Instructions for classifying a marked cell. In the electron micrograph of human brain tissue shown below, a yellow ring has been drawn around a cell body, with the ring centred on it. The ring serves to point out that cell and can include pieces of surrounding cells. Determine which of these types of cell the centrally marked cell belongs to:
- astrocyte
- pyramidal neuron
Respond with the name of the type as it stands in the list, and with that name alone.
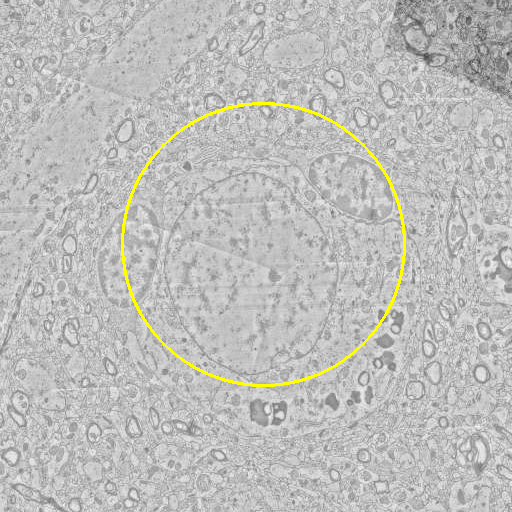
pyramidal neuron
